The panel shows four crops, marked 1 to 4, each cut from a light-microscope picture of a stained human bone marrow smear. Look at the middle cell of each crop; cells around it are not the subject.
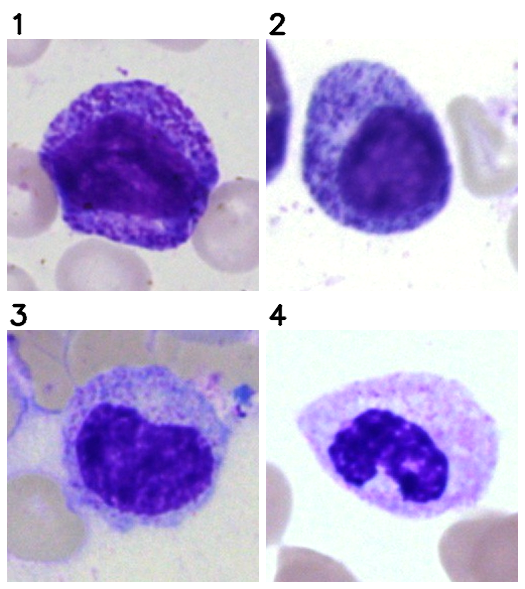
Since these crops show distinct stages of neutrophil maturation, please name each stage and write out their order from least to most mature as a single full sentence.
From least mature through to most mature, the order is crop 1 (a promyelocyte), crop 2 (a myelocyte), crop 3 (a metamyelocyte) and crop 4 (a segmented neutrophil).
